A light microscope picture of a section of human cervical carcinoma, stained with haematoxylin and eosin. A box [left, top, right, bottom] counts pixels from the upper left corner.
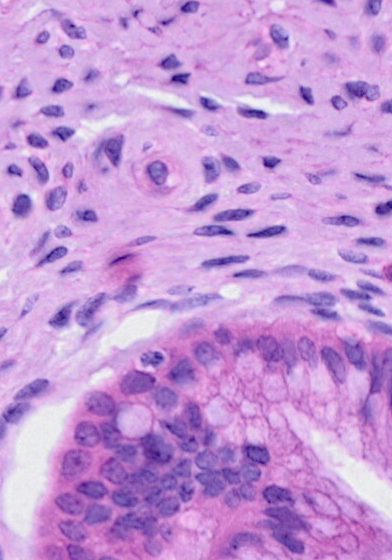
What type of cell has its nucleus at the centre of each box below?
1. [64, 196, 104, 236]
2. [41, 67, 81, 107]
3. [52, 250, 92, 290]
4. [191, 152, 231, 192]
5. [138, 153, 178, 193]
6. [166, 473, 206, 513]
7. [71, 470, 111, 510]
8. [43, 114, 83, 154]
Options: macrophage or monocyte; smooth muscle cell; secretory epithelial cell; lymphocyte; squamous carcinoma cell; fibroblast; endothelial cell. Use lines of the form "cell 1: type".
cell 1: fibroblast
cell 2: fibroblast
cell 3: fibroblast
cell 4: fibroblast
cell 5: endothelial cell
cell 6: secretory epithelial cell
cell 7: secretory epithelial cell
cell 8: fibroblast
